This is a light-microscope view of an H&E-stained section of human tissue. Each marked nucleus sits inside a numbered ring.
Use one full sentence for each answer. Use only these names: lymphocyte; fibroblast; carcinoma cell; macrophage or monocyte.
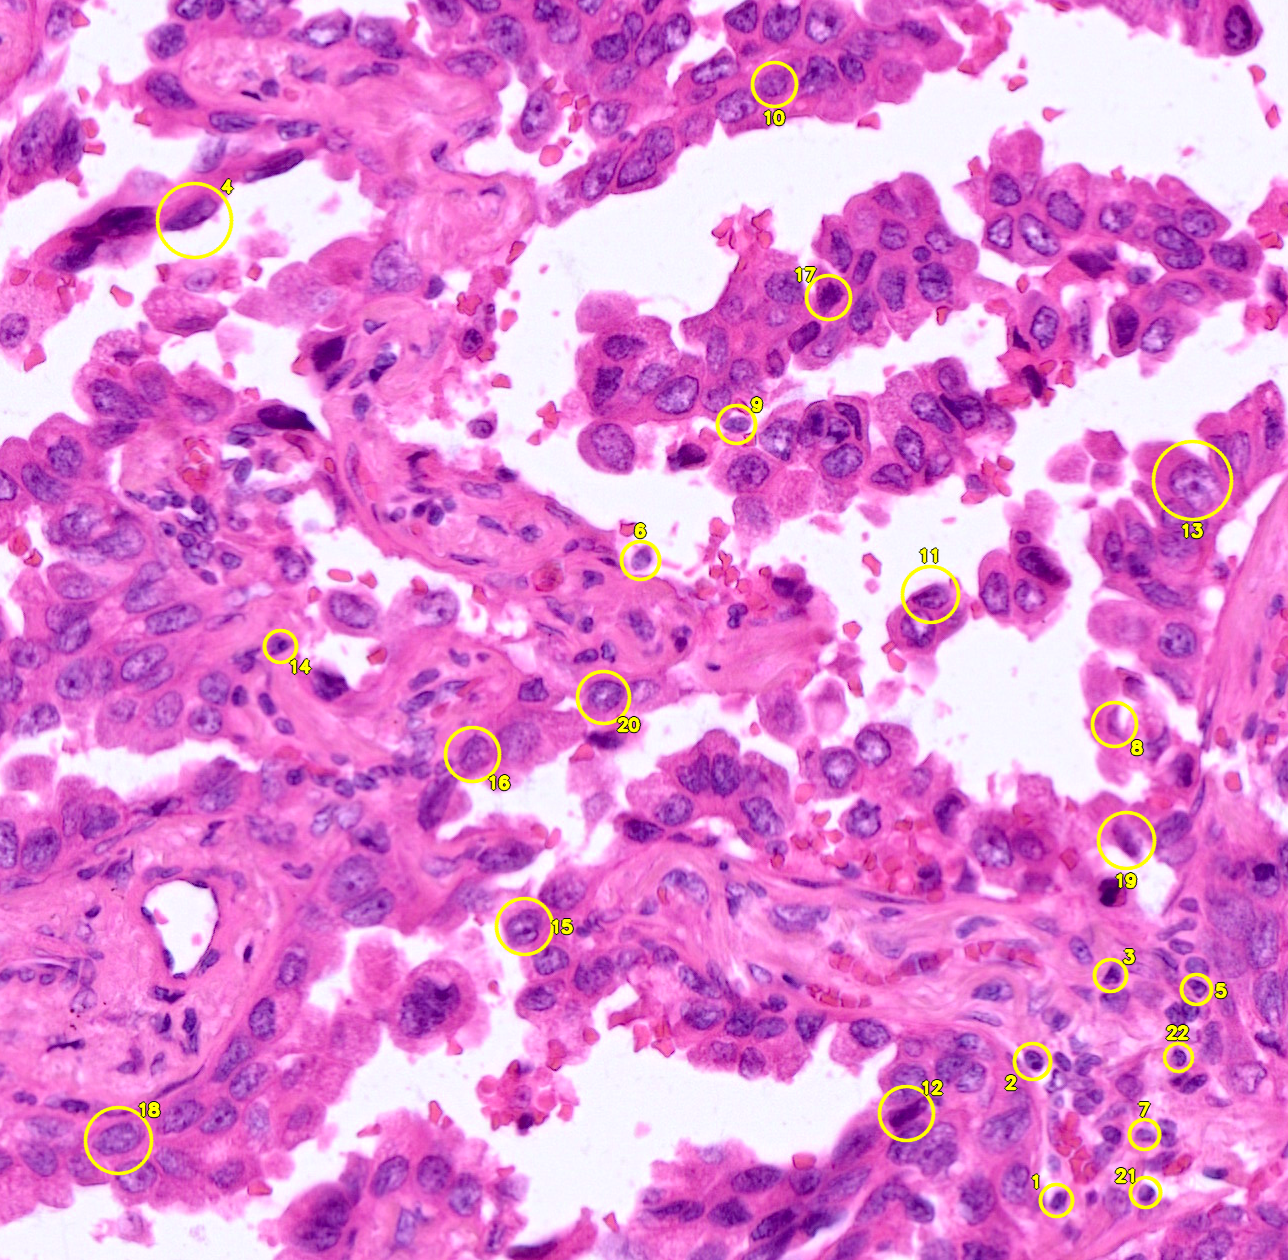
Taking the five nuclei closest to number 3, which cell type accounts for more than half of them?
Macrophages or monocytes make up most of the five nuclei closest to number 3.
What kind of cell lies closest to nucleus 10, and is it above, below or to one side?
A carcinoma cell lies closest, above and to the right of nucleus 10.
